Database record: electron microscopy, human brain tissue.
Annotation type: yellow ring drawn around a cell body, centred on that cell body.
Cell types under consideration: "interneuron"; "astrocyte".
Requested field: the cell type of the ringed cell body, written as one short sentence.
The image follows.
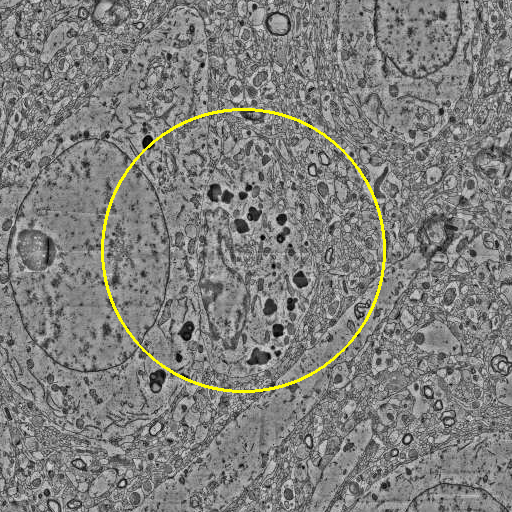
The ringed cell body represents an interneuron.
